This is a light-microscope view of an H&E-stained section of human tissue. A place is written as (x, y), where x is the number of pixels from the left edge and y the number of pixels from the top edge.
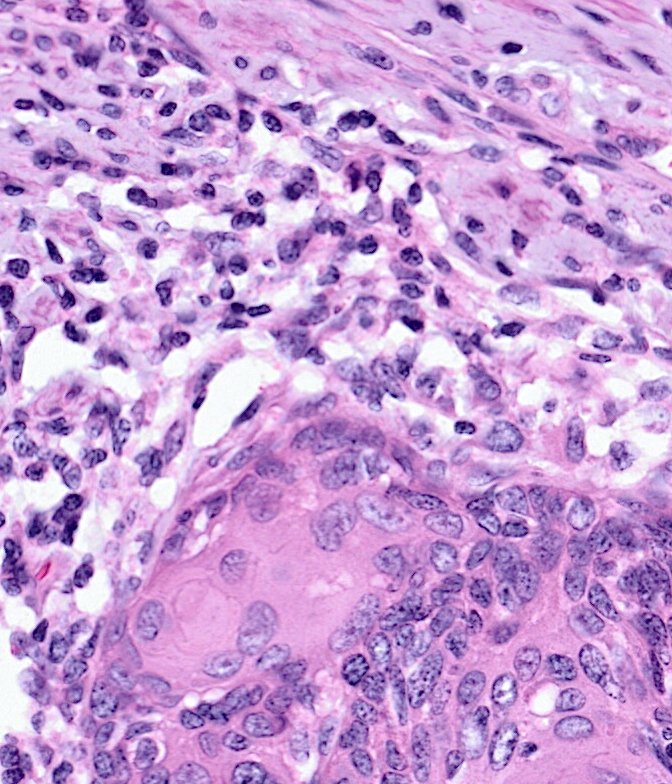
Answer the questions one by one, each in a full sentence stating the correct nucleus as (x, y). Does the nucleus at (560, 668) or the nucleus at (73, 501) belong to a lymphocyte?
Of the two nuclei, the one sitting at (73, 501) belongs to a lymphocyte.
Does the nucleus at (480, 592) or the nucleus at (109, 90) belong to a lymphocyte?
Of the two nuclei present, the one at (109, 90) is within a lymphocyte.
